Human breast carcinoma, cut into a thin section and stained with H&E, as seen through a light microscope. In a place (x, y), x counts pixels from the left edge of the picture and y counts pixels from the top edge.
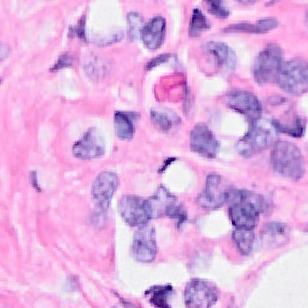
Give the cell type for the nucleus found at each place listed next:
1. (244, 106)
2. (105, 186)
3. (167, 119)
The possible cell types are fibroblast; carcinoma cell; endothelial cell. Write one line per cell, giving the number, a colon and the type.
1: carcinoma cell
2: carcinoma cell
3: endothelial cell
